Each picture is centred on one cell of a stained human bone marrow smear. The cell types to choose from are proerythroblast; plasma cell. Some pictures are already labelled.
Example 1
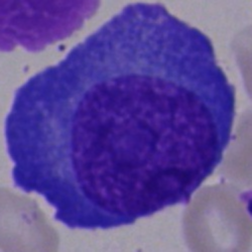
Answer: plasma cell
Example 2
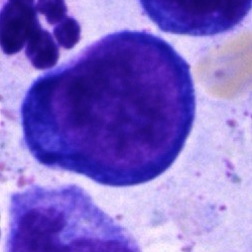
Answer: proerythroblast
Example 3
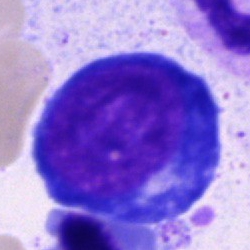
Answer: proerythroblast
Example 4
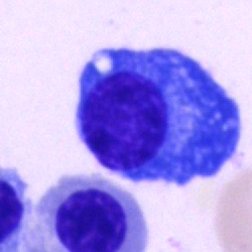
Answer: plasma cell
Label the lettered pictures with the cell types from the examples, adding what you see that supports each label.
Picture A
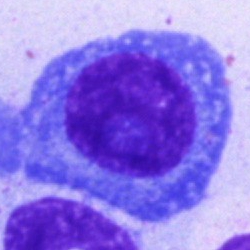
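plasma cell. Evidence: The cytoplasm is abundant and forms a wide rim around the nucleus.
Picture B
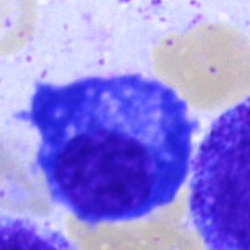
plasma cell. Evidence: The cytoplasm is abundant and stains a deep blue.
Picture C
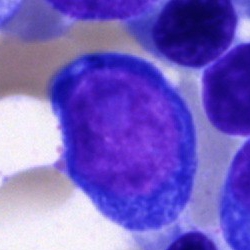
proerythroblast. Evidence: The nucleus fills most of the cell.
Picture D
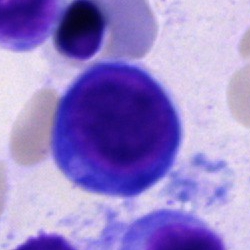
proerythroblast. Evidence: The nucleus fills most of the cell, leaving a narrow rim of cytoplasm.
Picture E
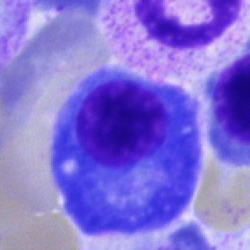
plasma cell. Evidence: The cytoplasm is plentiful, with its broadest part below the nucleus.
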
